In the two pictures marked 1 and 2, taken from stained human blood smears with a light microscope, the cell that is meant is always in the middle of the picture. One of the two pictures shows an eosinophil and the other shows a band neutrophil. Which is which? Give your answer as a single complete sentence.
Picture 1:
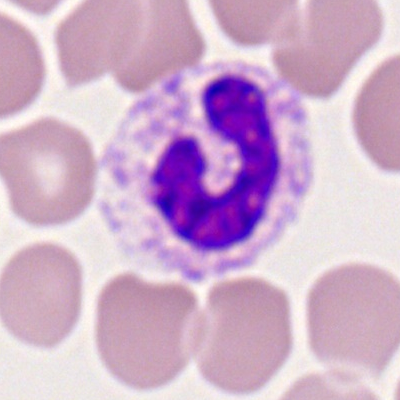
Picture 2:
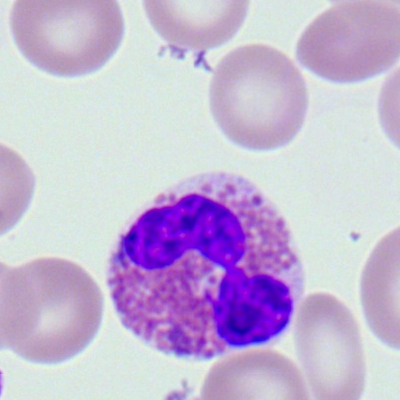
In picture 1 the cell is a band neutrophil; in picture 2, an eosinophil.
